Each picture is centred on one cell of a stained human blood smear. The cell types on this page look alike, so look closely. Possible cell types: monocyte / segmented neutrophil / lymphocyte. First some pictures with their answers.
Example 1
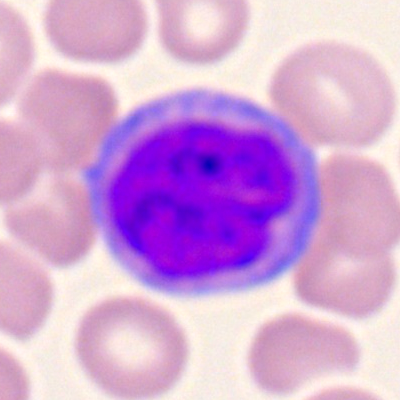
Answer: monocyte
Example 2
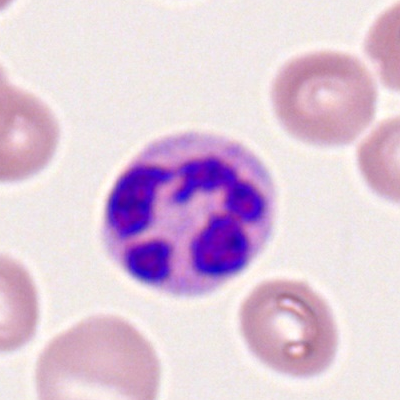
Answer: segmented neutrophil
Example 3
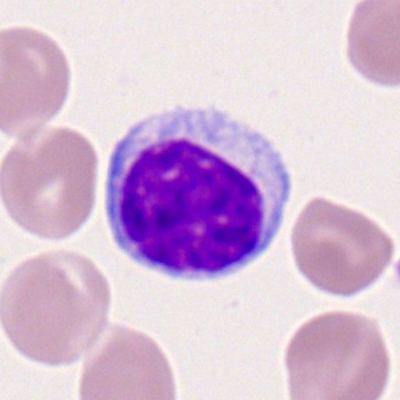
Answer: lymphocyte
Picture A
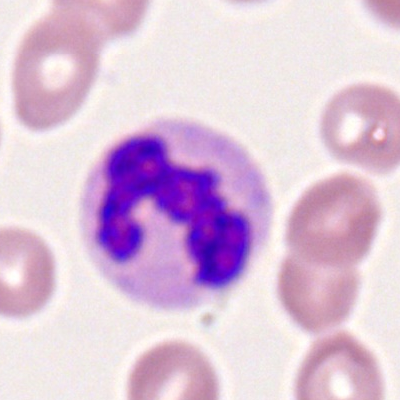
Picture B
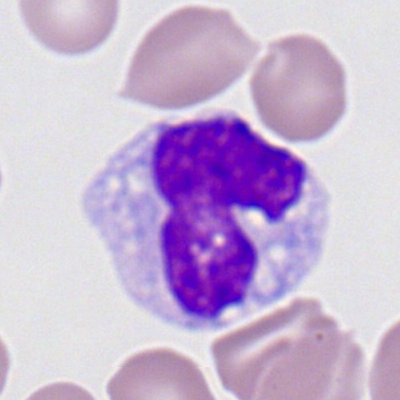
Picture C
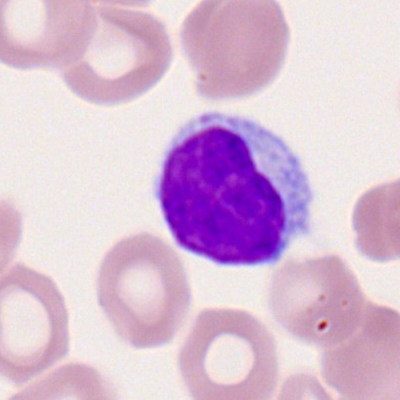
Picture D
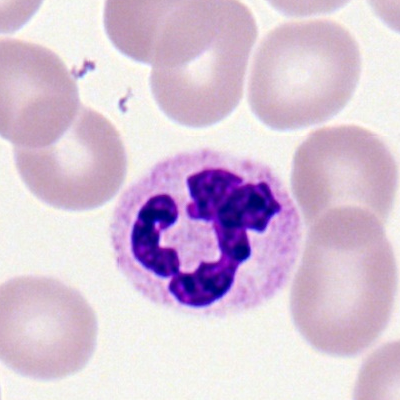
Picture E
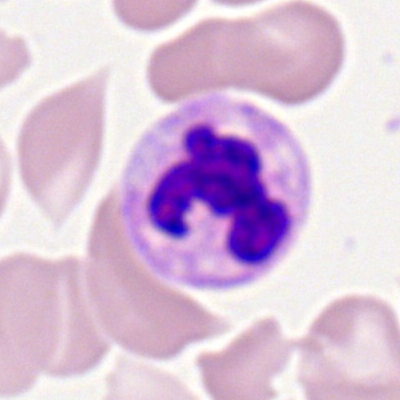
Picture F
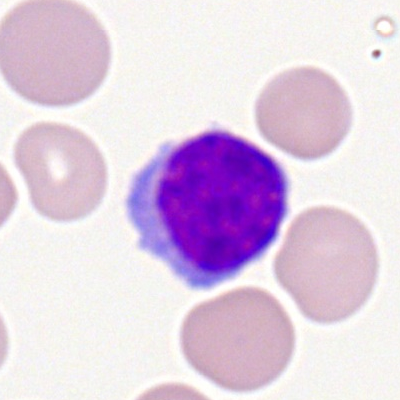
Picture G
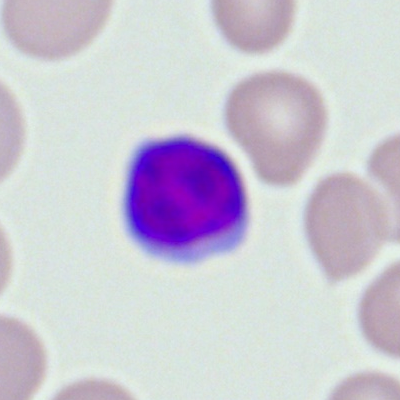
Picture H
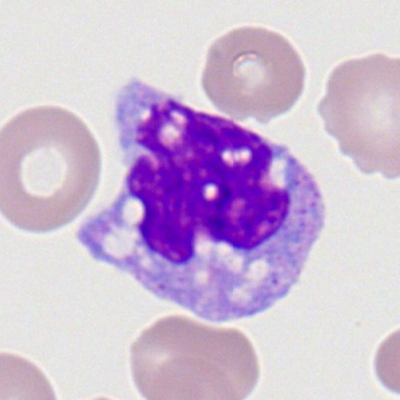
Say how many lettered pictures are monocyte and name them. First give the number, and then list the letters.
2, namely B, H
